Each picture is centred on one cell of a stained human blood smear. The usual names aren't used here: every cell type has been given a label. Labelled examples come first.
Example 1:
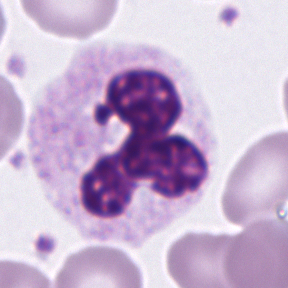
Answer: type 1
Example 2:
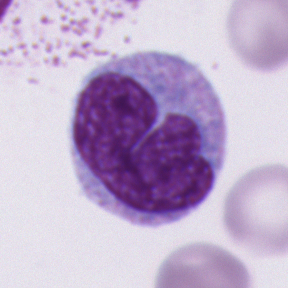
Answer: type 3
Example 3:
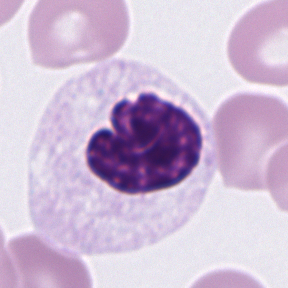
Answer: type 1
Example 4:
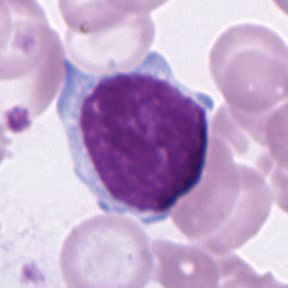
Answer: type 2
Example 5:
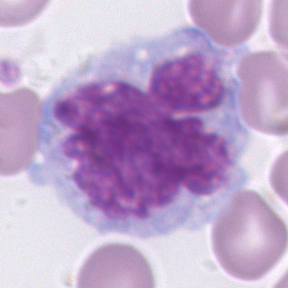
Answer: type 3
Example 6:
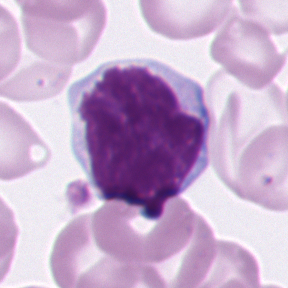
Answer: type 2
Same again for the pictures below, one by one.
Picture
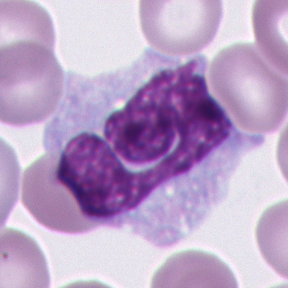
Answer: type 3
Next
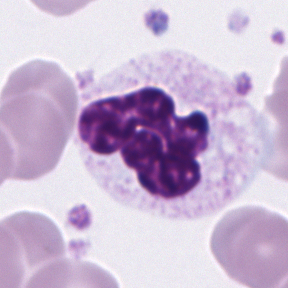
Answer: type 1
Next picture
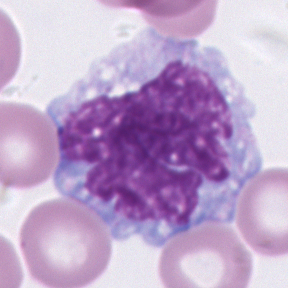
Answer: type 3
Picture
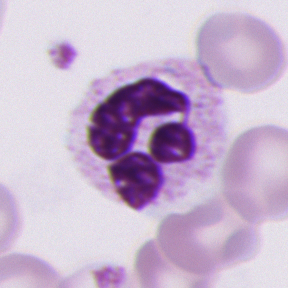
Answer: type 1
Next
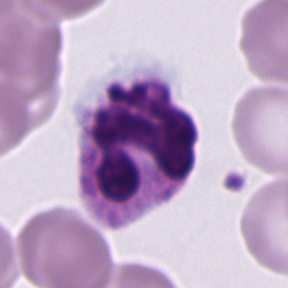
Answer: type 1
